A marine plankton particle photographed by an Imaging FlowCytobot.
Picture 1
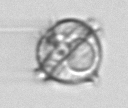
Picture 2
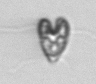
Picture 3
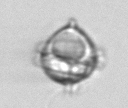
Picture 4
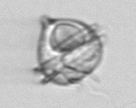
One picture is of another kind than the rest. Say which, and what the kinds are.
Picture 2 shows Pyramimonas; the rest show Protoperidinium.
